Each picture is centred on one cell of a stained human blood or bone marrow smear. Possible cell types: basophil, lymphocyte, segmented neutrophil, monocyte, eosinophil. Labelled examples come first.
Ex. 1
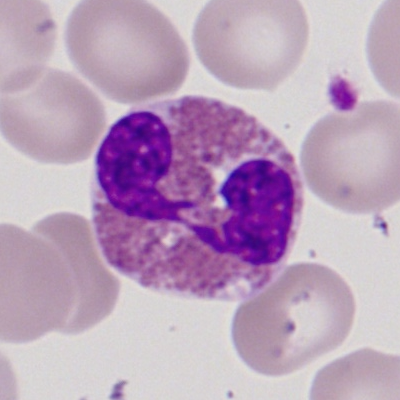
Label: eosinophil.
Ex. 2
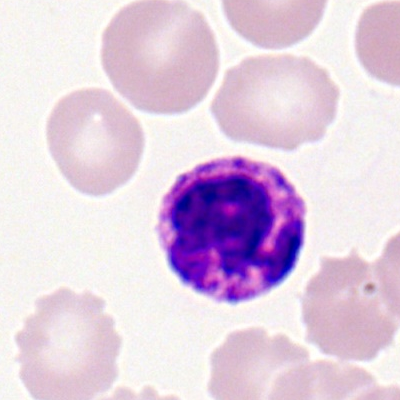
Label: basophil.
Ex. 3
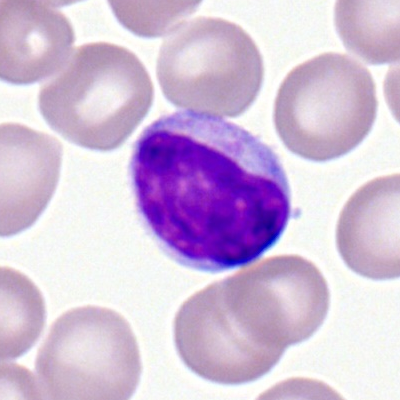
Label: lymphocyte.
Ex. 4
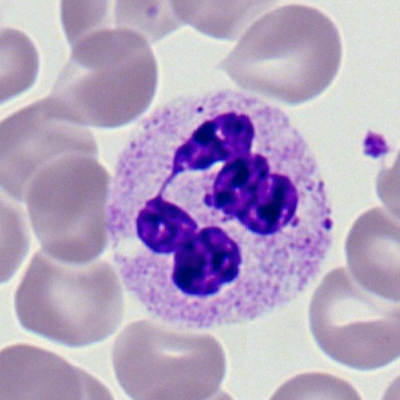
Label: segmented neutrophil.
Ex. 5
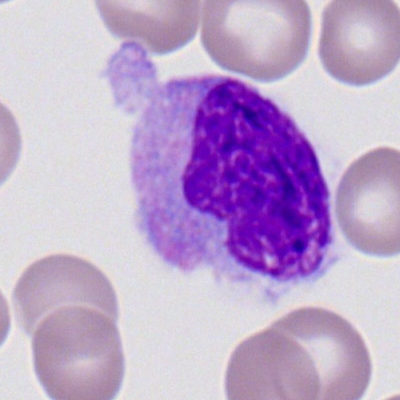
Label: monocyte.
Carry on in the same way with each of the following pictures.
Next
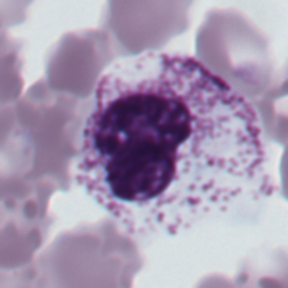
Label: segmented neutrophil.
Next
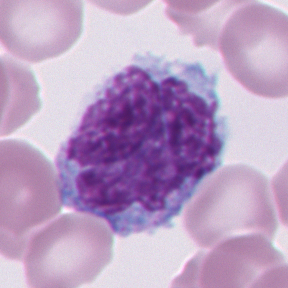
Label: monocyte.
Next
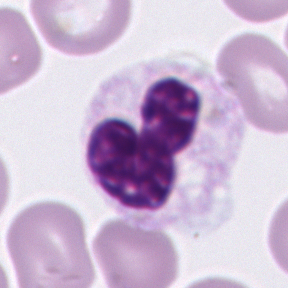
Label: segmented neutrophil.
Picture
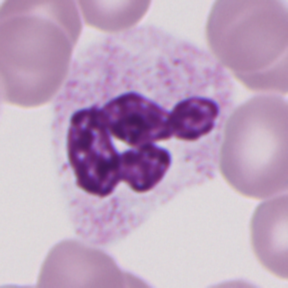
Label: segmented neutrophil.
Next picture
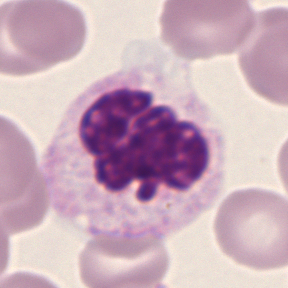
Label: segmented neutrophil.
